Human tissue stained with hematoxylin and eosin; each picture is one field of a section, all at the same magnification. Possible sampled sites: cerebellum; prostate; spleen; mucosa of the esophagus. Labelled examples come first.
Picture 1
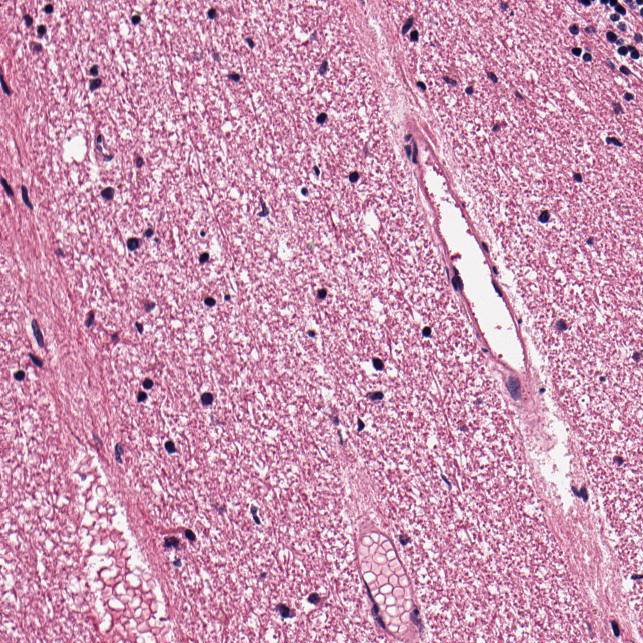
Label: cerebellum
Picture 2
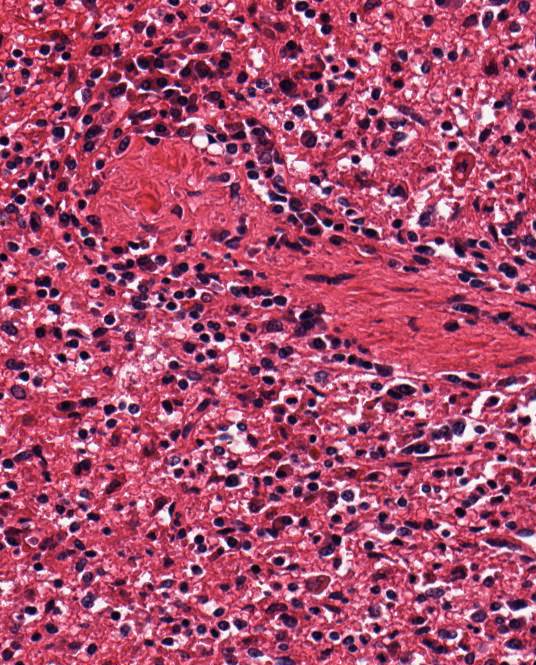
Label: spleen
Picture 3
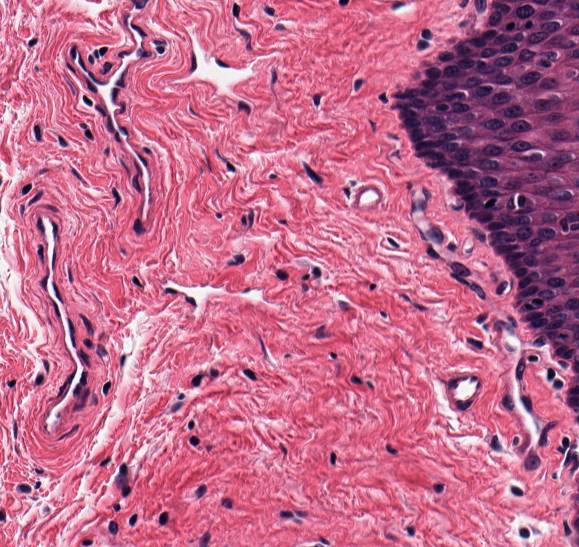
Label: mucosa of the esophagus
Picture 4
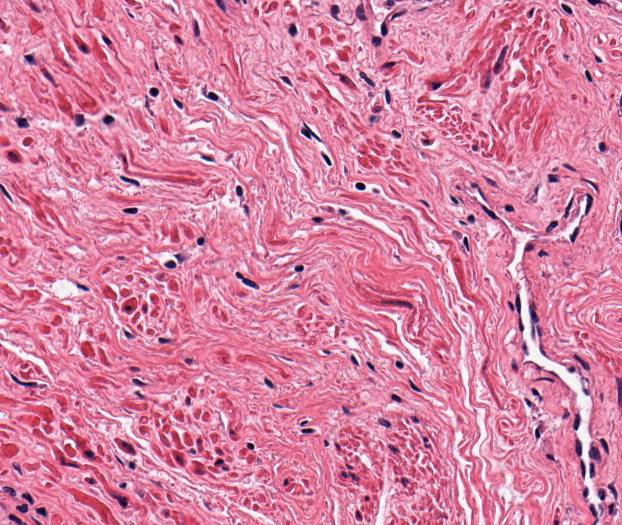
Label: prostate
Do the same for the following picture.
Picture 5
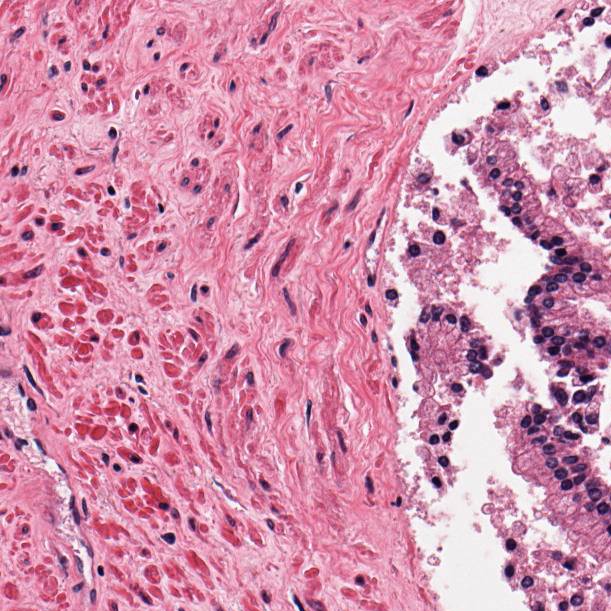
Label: prostate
